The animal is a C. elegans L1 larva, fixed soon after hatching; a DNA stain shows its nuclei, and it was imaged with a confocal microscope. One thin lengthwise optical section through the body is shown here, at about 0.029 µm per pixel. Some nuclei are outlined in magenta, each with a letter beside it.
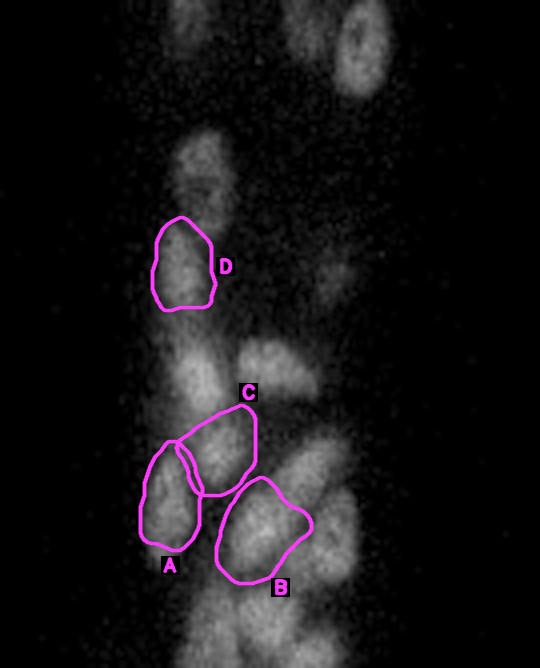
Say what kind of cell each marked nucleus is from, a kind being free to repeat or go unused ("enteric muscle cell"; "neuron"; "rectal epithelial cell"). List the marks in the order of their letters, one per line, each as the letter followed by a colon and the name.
A: rectal epithelial cell
B: rectal epithelial cell
C: rectal epithelial cell
D: neuron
